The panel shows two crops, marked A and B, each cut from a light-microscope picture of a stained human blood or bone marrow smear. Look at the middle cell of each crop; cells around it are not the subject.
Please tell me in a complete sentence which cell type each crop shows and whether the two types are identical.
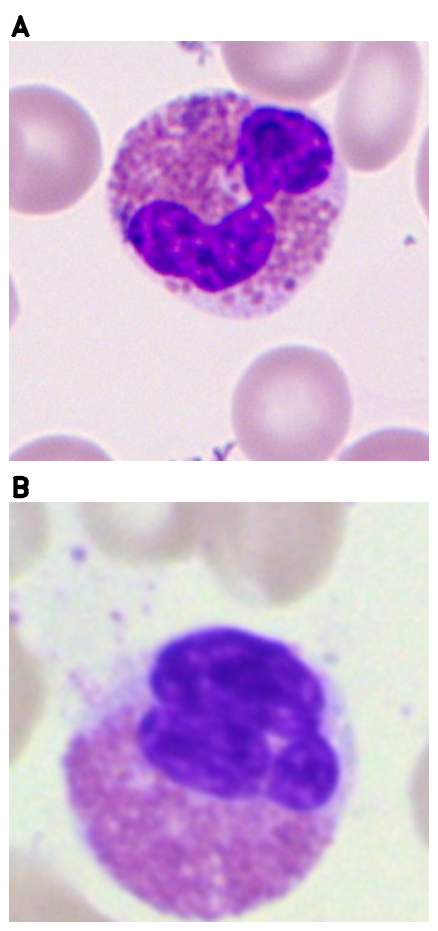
Yes, both crops show eosinophils, to put it briefly.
